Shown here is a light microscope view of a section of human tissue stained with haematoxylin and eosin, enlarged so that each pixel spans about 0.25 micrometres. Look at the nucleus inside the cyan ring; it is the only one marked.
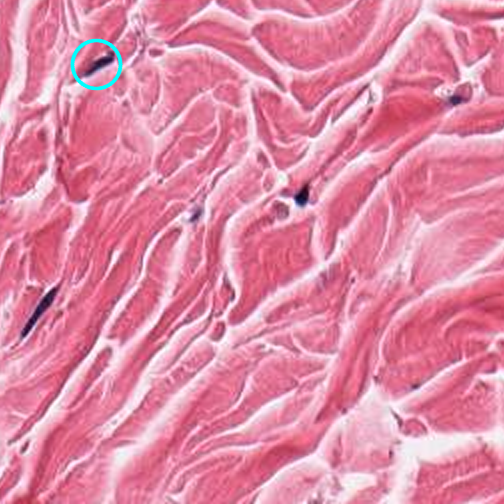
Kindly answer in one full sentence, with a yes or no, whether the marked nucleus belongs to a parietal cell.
No, the marked nucleus has its place in a supporting cell rather than in a parietal cell.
